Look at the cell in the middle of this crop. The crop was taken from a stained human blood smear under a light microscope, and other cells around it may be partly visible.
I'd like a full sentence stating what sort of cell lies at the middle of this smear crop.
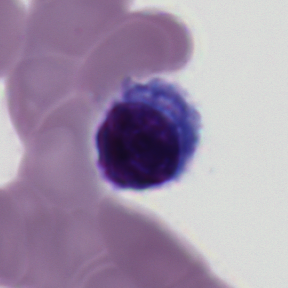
The central cell in this smear crop is a plasma cell.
